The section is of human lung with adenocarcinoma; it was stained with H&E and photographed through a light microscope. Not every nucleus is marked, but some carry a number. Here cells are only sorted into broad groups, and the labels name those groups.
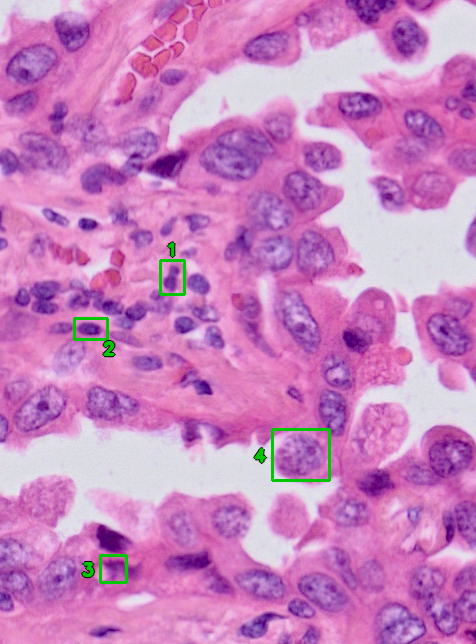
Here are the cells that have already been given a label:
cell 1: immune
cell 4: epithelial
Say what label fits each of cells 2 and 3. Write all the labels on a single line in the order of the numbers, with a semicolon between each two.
immune; epithelial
